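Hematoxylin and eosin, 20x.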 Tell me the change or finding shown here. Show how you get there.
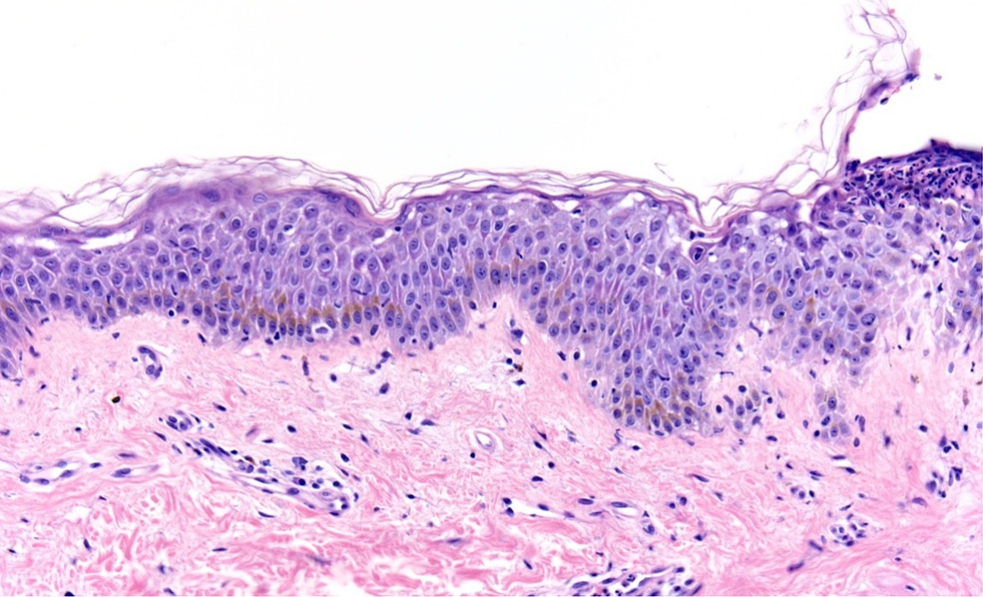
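Subcorneal neutrophilic infiltrate. At the upper right a dense cluster of small, dark, irregular nuclei lies just beneath the stratum corneum. The cluster sits at the top of the epidermis, above the pale keratinocytes.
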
